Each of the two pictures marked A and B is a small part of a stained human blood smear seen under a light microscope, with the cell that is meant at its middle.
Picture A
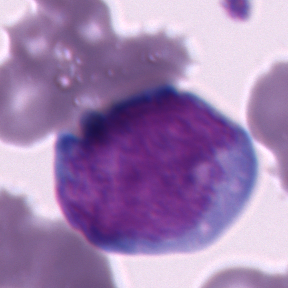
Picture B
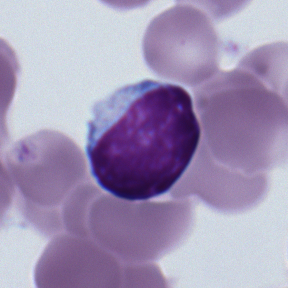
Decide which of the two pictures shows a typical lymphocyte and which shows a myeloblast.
A: myeloblast
B: typical lymphocyte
